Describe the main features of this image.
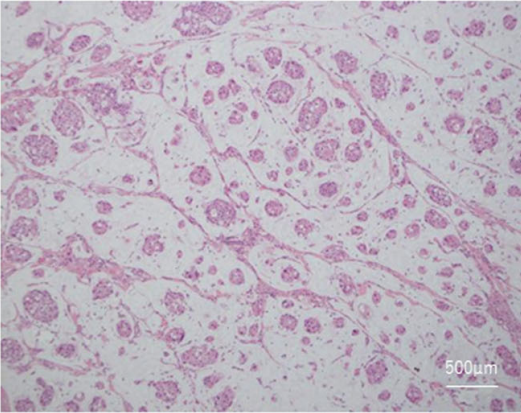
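At low magnification, a carcinoma shows numerous small, rounded nests of tumor cells scattered within extensive pale pools of mucus. The nests vary in size, some larger and lobulated, others small clusters, and many contain small lumens. Thin pink fibrous septa traverse the field, dividing the mucus into lobules. Most of the area is occupied by pale, nearly acellular mucus rather than by cells, with the epithelial nests appearing to float within it.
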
